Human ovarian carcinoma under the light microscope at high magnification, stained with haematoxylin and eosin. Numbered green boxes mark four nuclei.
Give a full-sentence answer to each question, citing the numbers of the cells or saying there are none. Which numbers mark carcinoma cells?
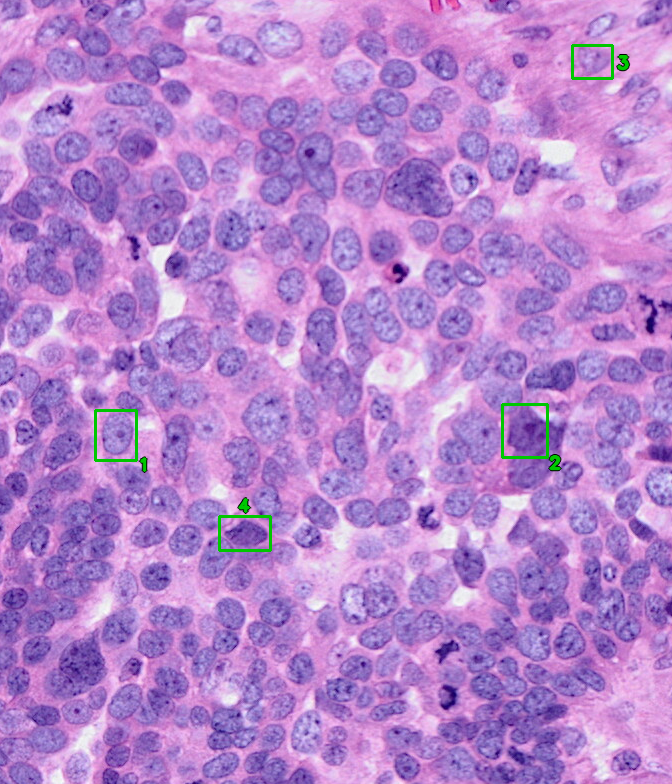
The cells referred to by numbers 1, 2 and 4 are carcinoma cells.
